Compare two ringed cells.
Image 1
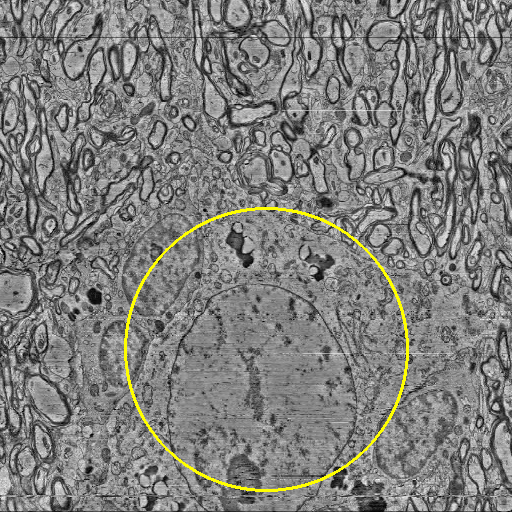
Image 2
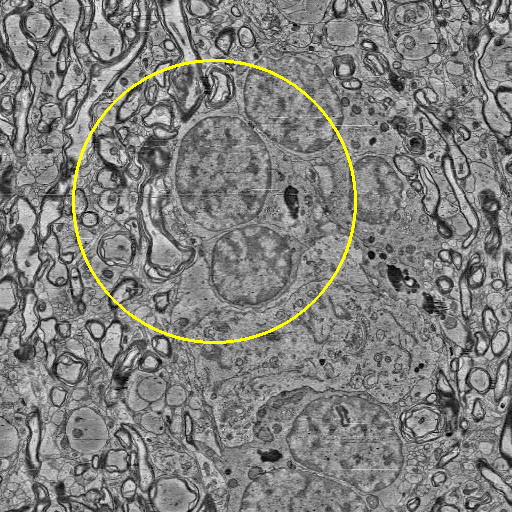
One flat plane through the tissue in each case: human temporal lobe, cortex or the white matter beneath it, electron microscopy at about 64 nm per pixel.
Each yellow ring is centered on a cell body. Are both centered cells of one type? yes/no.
no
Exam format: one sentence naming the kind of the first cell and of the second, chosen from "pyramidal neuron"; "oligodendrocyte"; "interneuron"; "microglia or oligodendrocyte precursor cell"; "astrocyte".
The first picture's cell is a pyramidal neuron, and the second picture's cell is an oligodendrocyte.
